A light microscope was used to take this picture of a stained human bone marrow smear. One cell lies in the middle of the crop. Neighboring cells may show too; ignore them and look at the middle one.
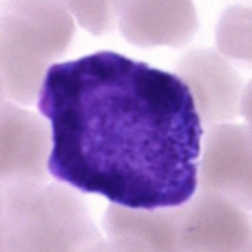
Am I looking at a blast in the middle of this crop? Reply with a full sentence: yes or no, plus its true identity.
Yes, the central cell is to be recorded as a blast.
